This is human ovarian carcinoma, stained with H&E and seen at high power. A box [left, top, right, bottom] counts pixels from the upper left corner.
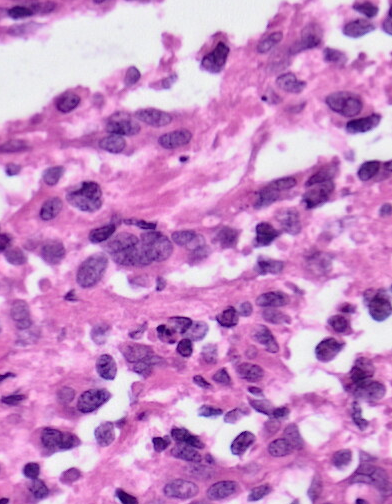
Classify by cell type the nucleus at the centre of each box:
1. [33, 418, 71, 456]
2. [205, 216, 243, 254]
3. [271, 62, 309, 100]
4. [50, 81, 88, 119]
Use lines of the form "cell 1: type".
cell 1: carcinoma cell
cell 2: carcinoma cell
cell 3: macrophage or monocyte
cell 4: macrophage or monocyte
